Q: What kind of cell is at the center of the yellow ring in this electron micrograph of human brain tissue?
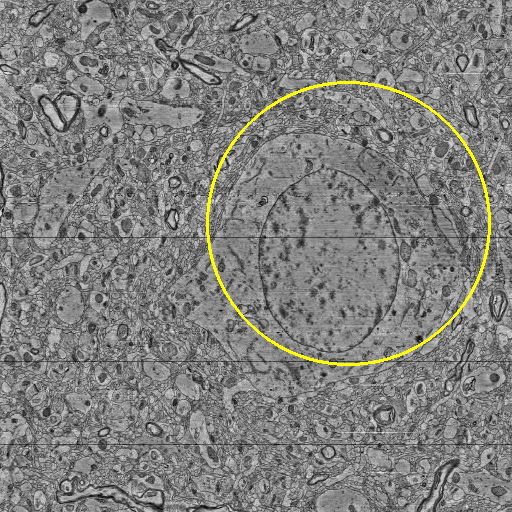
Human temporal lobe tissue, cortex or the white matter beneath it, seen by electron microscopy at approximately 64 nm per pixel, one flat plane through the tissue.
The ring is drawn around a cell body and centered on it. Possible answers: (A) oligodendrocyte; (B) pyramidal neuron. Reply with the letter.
B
